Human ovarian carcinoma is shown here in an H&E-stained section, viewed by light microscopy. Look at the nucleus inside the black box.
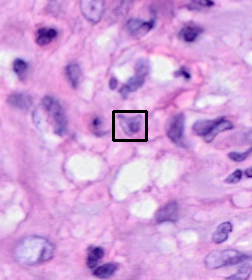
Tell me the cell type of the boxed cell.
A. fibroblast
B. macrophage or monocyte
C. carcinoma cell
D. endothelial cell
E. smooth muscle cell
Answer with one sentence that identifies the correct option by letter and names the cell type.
Option B matches the boxed cell, which is a macrophage or monocyte.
